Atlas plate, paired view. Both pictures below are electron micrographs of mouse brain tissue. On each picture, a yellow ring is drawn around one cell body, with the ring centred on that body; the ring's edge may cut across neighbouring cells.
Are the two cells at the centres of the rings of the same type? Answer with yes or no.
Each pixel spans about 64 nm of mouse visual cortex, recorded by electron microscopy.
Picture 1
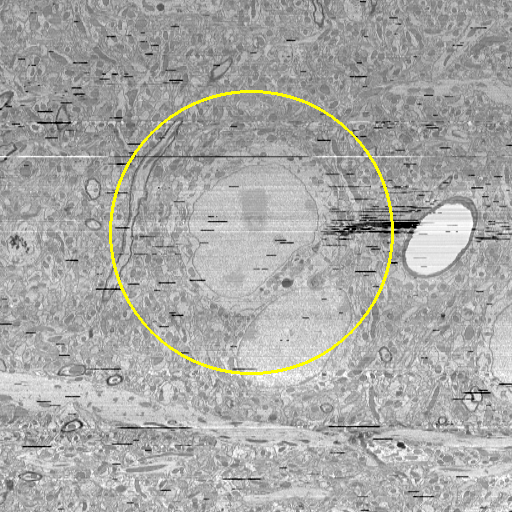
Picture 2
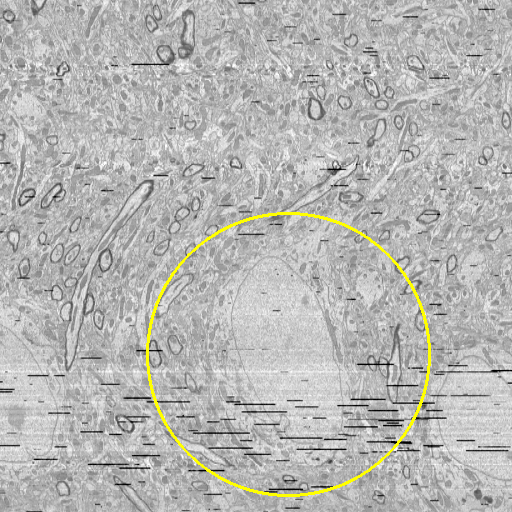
yes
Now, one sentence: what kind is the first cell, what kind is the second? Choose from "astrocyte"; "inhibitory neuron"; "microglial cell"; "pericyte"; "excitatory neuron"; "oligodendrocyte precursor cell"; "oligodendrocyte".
Each one of the two ringed cells is an excitatory neuron.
